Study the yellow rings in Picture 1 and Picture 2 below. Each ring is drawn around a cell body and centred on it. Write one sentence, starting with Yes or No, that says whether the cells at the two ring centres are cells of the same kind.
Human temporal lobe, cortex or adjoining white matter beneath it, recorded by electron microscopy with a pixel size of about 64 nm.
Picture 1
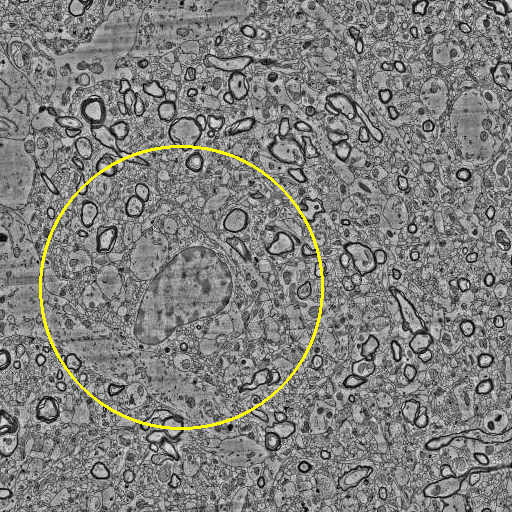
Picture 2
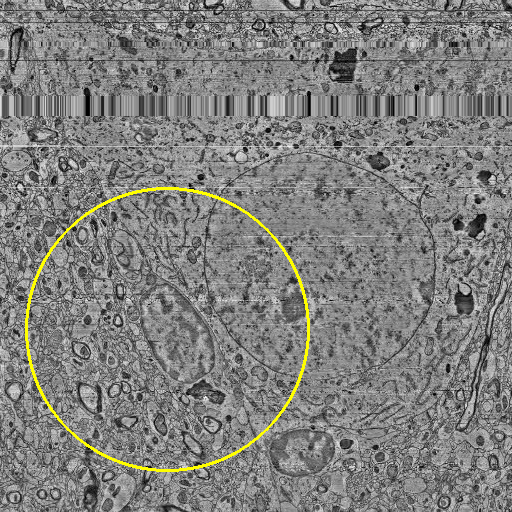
No, the cells at the ring centres are of two kinds.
